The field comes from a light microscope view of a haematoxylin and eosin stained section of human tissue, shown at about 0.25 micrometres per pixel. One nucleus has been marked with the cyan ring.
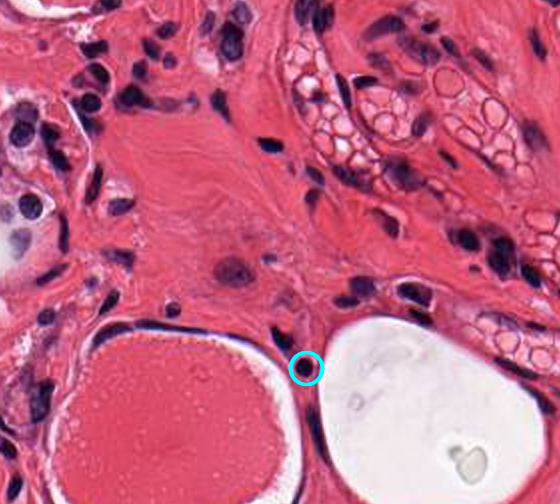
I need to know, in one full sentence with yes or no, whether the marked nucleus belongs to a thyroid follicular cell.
No, that the marked nucleus belongs to a thyroid follicular cell does not hold; it belongs to a supporting cell.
